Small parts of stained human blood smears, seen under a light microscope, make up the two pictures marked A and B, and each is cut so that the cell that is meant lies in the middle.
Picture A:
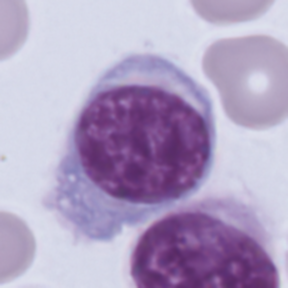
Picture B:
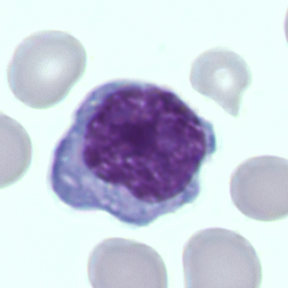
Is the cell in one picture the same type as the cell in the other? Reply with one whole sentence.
Yes, both cells are plasma cells.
